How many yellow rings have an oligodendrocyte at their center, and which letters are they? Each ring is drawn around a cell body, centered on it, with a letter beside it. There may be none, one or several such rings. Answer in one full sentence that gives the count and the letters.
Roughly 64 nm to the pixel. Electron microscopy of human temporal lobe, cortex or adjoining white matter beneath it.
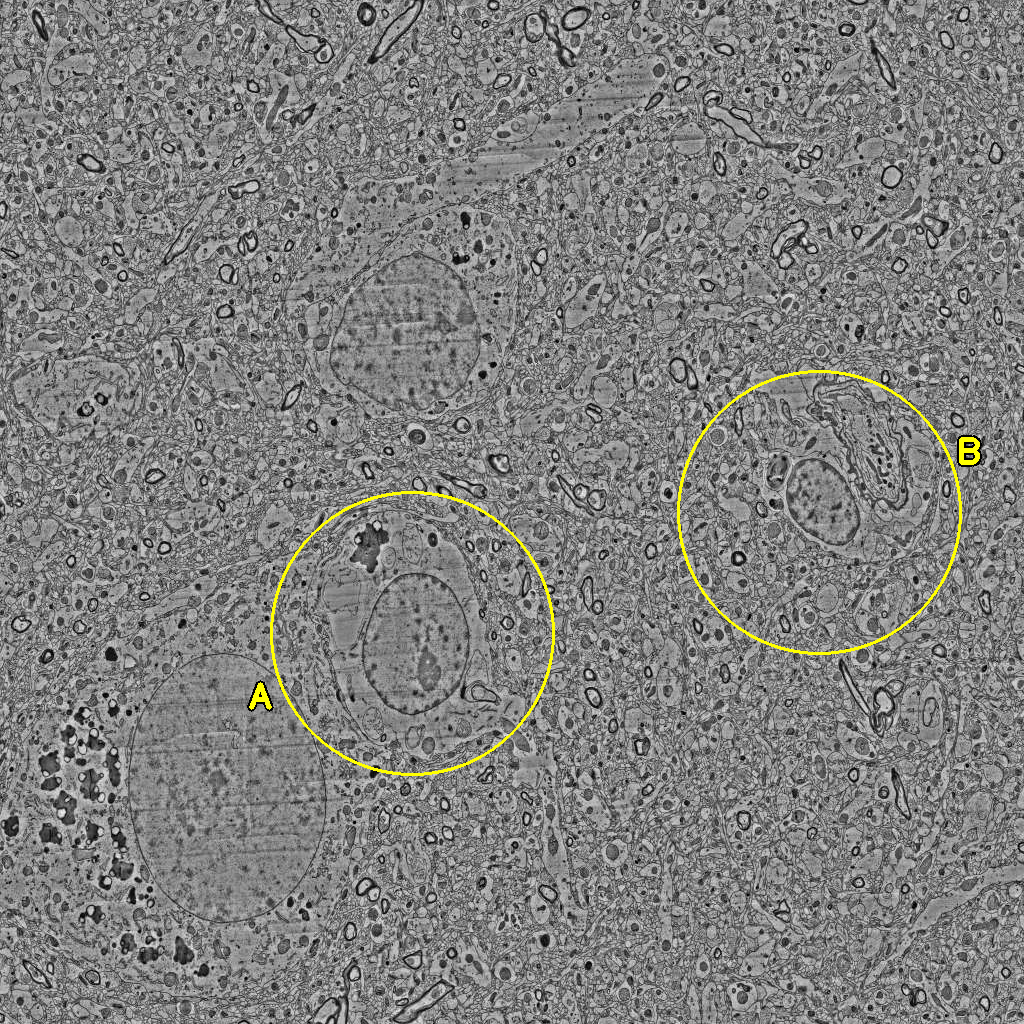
A search of the yellow rings finds none centred on an oligodendrocyte, so the number is zero.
